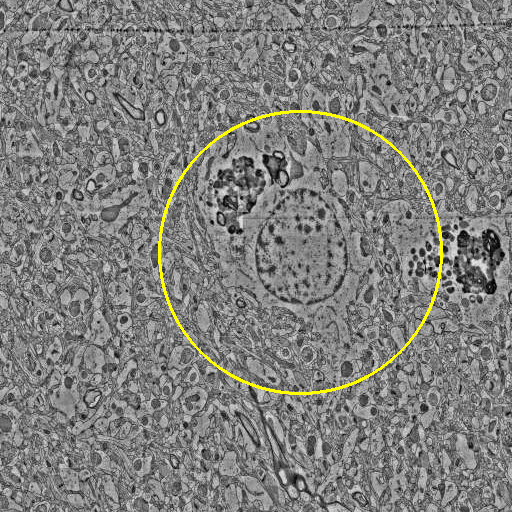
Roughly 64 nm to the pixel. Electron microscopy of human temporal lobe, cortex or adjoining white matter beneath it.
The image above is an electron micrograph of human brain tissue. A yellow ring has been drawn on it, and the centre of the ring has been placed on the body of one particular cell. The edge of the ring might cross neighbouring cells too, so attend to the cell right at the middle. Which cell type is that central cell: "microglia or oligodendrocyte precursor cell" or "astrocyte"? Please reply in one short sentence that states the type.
The central cell in the ring is an astrocyte.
